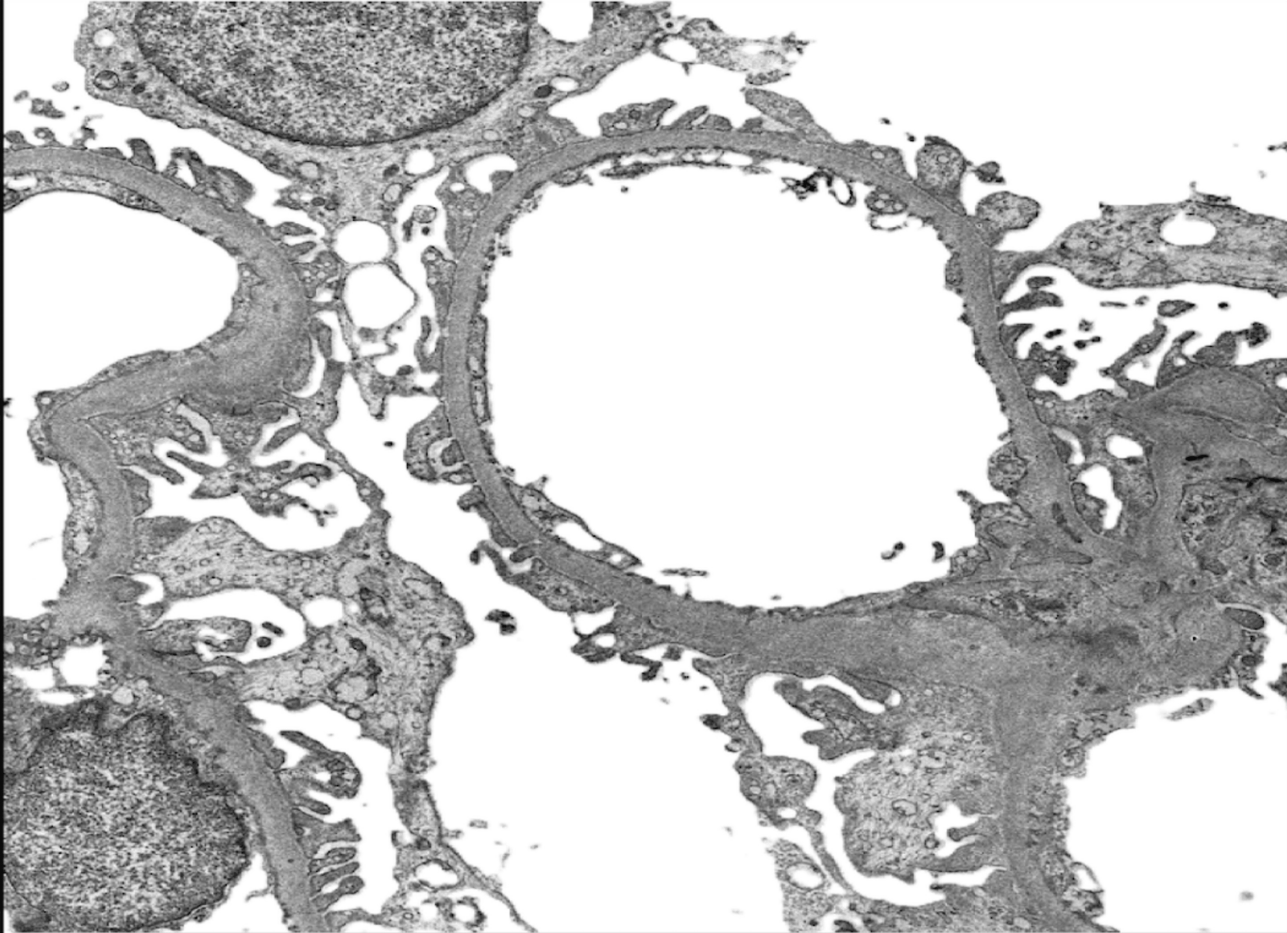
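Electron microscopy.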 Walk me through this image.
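Glomerular capillary loops are seen with open, empty lumens, each bounded by a continuous grey basement membrane band. The membrane of the loop on the left is thicker and more irregular than that of the round loop in the centre, and on the right the loops meet in a denser, greyer matrix-rich area.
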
